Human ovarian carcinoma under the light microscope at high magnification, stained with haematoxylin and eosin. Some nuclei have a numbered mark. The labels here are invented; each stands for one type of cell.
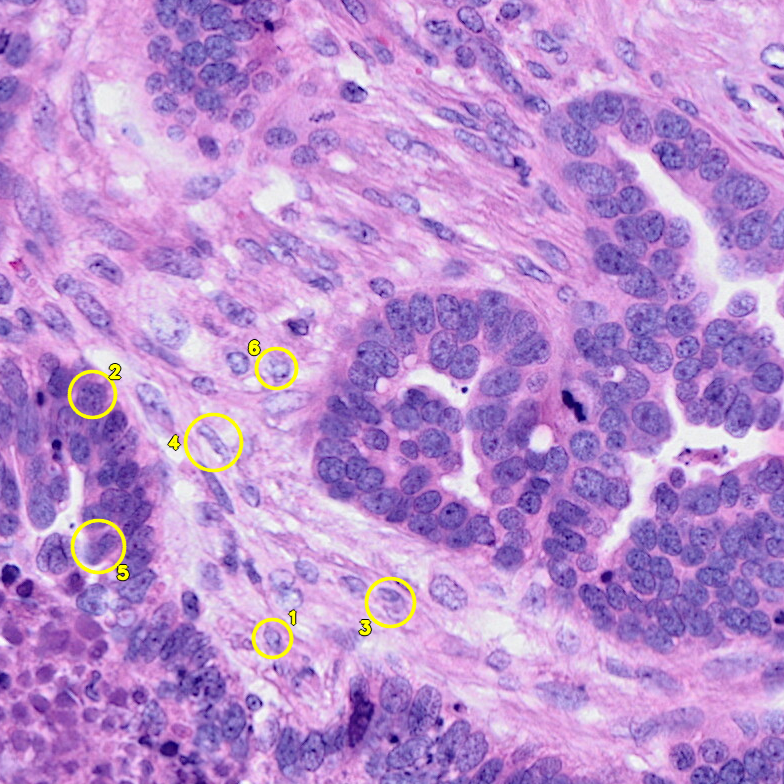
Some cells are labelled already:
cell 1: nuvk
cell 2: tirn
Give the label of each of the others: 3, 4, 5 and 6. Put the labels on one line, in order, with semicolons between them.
nuvk; nuvk; tirn; nuvk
